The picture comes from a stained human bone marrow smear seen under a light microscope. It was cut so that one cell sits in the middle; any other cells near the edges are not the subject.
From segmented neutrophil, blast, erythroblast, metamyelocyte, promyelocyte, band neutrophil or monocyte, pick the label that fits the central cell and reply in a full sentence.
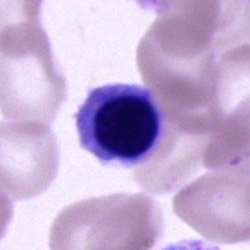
In the central position of this crop, the cell is an erythroblast.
